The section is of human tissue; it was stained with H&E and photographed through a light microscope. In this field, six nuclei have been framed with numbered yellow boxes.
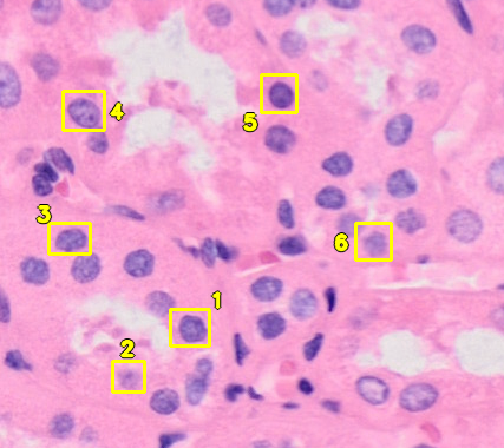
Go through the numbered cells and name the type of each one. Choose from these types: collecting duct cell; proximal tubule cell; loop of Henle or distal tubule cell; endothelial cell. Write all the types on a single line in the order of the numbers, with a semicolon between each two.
loop of Henle or distal tubule cell; loop of Henle or distal tubule cell; loop of Henle or distal tubule cell; proximal tubule cell; proximal tubule cell; loop of Henle or distal tubule cell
